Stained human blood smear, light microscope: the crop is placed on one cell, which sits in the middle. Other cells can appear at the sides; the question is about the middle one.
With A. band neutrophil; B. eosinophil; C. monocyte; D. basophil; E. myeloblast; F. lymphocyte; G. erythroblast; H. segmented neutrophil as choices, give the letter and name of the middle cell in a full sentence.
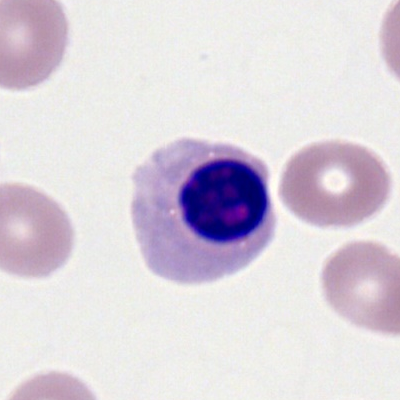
Option G is the correct selection, for the cell at the centre is an erythroblast.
